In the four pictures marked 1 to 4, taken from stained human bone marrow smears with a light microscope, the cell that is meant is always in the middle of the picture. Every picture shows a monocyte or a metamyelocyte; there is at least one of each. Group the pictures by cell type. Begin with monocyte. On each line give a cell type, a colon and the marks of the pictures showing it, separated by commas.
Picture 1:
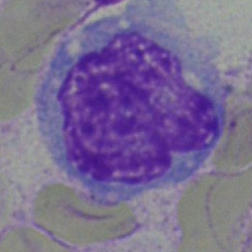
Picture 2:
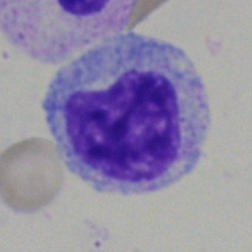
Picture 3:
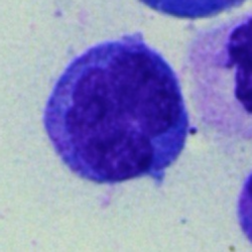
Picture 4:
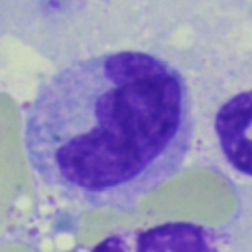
monocyte: 1, 3, 4
metamyelocyte: 2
